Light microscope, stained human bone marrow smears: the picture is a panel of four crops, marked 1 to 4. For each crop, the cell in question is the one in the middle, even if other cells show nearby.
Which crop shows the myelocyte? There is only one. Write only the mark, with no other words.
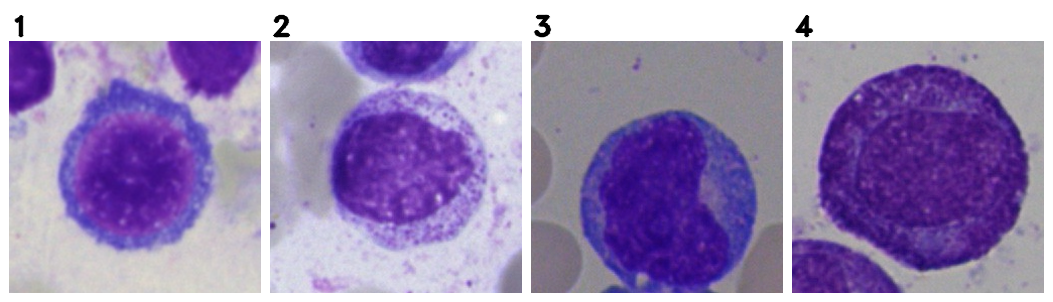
2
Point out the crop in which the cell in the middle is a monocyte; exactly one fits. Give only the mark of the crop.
3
